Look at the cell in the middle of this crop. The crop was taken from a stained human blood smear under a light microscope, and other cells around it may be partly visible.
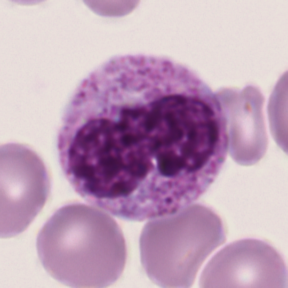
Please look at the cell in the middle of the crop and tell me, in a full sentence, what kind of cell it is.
Here the cell in the middle is a band neutrophil.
